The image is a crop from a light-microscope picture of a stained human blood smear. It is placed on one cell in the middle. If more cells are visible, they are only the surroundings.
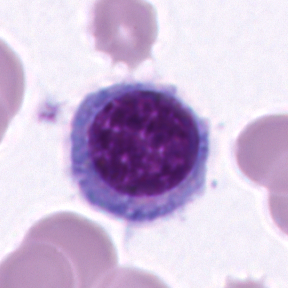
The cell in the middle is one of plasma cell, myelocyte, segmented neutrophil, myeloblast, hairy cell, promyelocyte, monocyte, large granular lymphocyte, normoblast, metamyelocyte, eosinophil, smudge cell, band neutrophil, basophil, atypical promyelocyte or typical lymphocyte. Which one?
plasma cell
